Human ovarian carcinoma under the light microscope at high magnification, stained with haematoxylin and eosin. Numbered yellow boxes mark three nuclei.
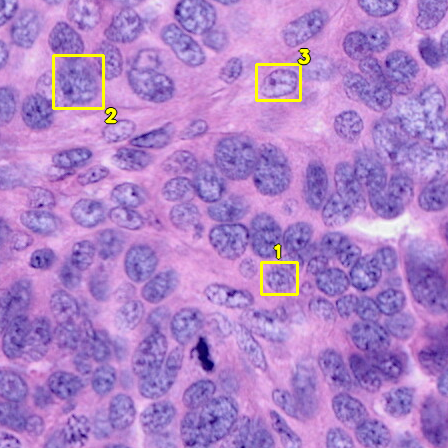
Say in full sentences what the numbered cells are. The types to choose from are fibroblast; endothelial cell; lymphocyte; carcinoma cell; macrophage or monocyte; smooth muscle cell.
Cells 1 and 2 are carcinoma cells. Cell 3 is a fibroblast.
